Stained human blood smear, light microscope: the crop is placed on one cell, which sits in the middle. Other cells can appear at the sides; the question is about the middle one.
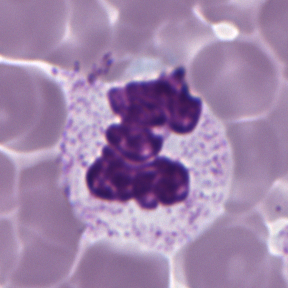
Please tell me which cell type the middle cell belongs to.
segmented neutrophil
